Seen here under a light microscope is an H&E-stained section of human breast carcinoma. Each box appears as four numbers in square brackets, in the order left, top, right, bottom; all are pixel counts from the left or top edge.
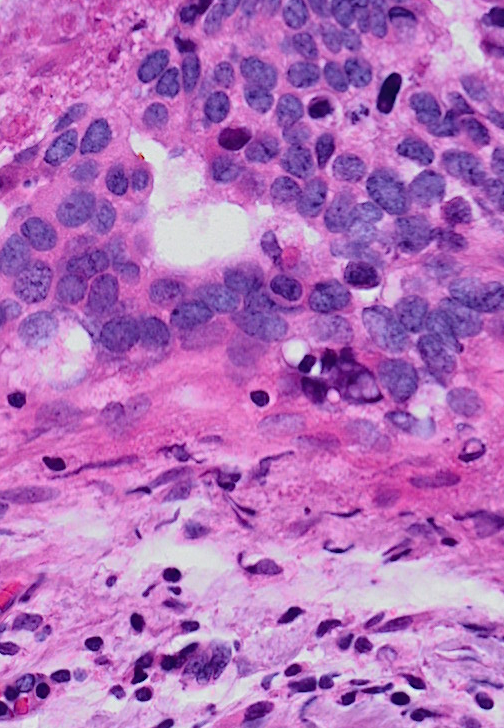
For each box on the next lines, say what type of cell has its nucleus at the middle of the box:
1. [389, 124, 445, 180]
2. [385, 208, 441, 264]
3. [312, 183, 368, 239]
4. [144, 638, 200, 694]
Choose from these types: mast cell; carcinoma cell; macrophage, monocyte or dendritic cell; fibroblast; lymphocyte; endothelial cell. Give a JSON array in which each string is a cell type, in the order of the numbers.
["carcinoma cell", "carcinoma cell", "carcinoma cell", "lymphocyte"]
